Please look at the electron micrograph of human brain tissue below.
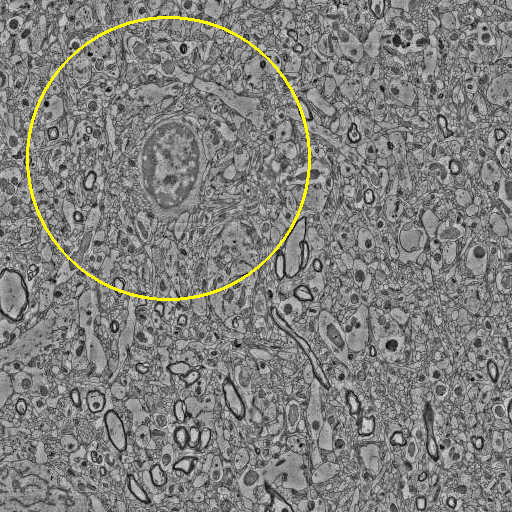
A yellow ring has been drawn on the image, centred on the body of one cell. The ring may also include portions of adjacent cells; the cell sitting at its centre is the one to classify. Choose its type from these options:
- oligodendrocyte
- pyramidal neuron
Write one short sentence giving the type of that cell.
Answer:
The cell in the middle of the ring is an oligodendrocyte.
